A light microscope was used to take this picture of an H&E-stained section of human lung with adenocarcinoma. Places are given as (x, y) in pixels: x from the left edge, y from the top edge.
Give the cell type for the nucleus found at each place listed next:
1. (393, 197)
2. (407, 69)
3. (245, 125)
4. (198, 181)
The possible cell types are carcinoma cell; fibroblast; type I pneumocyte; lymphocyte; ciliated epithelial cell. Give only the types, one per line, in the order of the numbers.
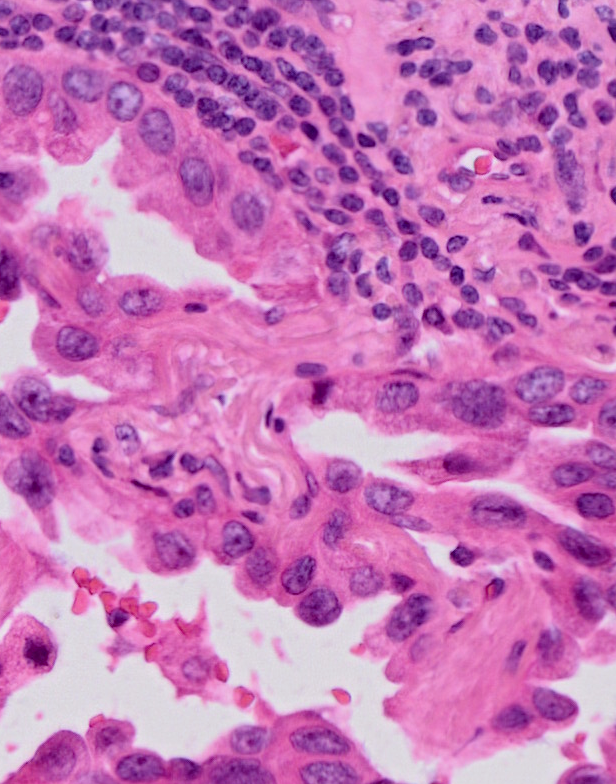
lymphocyte
lymphocyte
lymphocyte
carcinoma cell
